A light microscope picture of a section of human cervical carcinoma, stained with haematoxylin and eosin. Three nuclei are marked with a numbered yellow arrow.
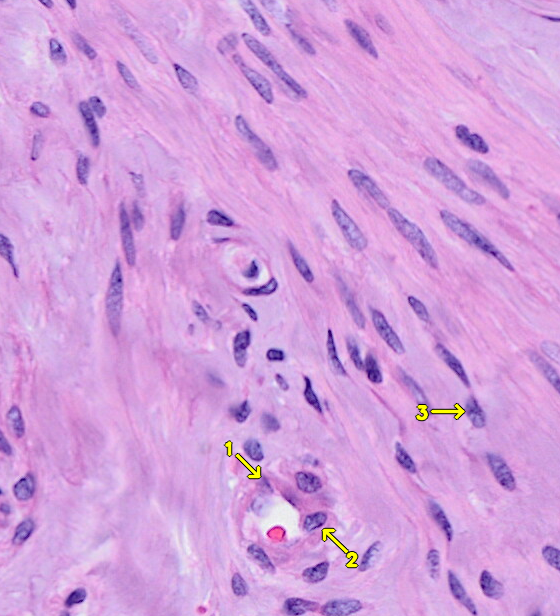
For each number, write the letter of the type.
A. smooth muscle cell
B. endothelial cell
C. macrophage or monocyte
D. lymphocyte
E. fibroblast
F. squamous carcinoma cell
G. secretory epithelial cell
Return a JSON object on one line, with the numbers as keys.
{"1": "B", "2": "B", "3": "E"}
